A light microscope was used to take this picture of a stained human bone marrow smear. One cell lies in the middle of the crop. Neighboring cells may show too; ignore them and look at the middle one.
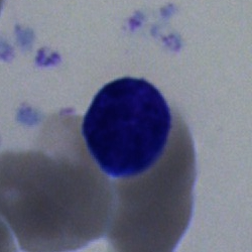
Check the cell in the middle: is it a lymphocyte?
yes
